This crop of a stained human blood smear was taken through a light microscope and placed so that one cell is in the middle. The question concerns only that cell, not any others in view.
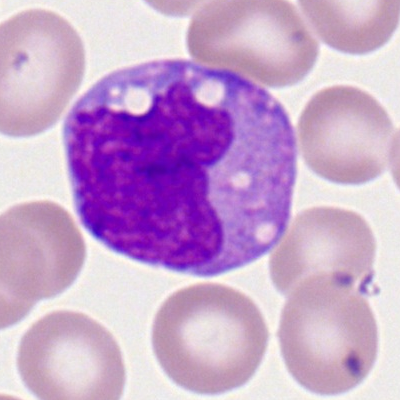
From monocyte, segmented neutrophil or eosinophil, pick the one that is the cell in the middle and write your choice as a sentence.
To answer, the cell in the center of the crop is a monocyte.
